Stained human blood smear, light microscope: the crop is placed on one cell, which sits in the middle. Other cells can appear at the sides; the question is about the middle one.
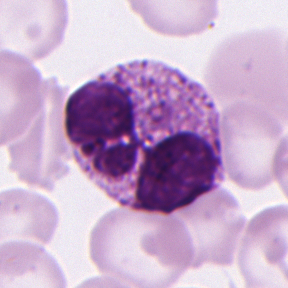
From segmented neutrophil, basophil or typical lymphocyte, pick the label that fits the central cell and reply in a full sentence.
Classification of the middle cell gives a basophil.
